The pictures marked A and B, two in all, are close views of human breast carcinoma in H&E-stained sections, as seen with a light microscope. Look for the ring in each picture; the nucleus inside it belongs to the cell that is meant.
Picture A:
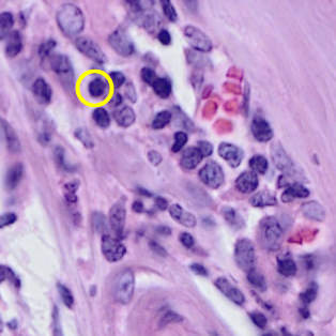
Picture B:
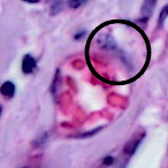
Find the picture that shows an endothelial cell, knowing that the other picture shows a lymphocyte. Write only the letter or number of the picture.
B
